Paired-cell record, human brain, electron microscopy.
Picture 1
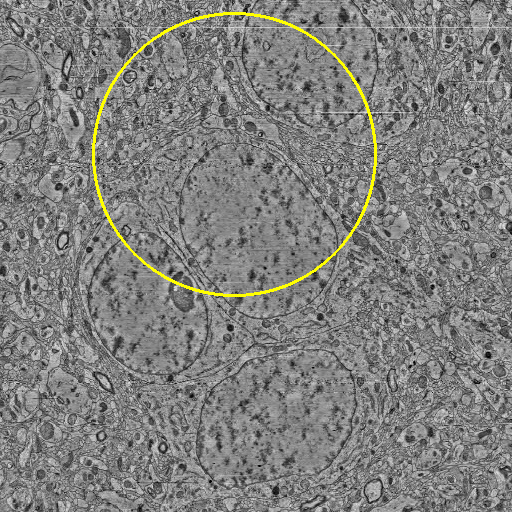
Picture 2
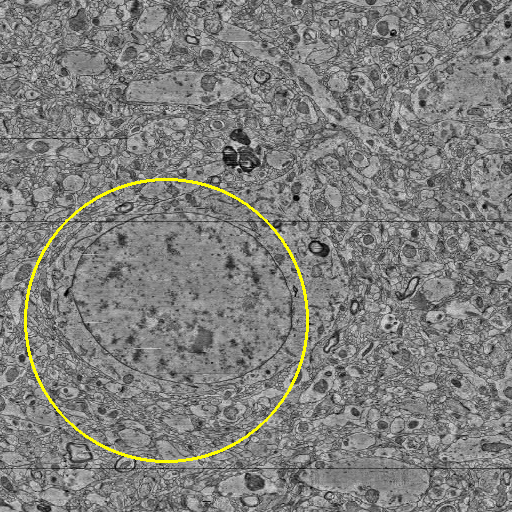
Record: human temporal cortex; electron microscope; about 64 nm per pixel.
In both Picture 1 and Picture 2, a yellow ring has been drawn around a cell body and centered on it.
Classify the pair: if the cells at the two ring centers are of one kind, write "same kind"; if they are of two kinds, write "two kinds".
same kind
